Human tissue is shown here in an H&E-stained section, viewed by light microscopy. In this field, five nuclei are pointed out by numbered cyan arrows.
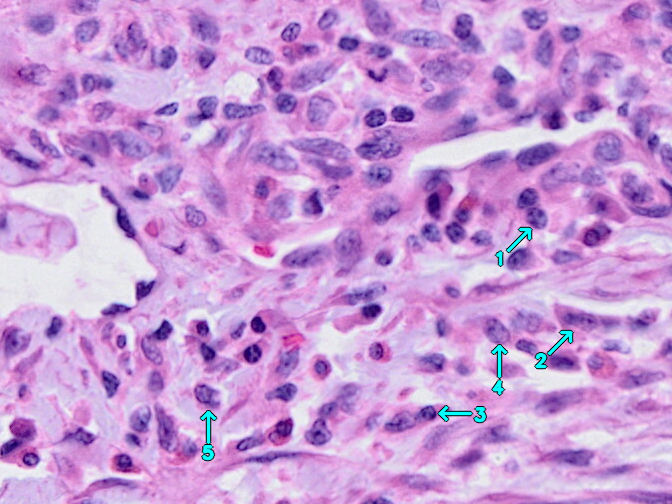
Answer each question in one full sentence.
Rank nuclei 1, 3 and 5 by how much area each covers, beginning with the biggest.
Largest first, the order by area is 5, 1, 3.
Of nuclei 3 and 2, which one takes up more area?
Nucleus 2 is larger, with an area about 2 times that of nucleus 3.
